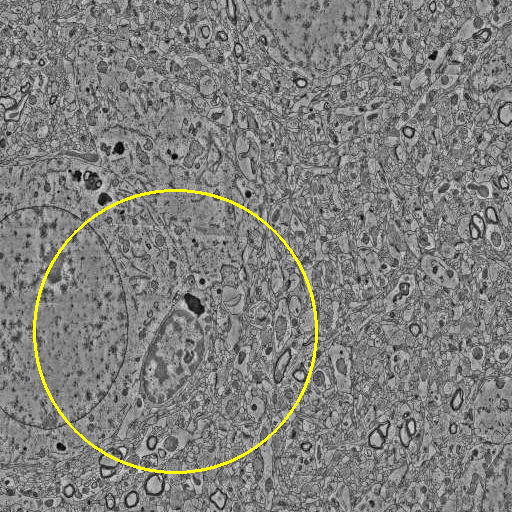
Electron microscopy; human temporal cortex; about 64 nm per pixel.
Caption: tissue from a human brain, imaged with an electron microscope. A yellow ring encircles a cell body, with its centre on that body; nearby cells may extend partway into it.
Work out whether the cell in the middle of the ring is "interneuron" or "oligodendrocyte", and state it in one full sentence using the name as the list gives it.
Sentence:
In the picture, the cell that the yellow ring surrounds at its centre is an oligodendrocyte.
